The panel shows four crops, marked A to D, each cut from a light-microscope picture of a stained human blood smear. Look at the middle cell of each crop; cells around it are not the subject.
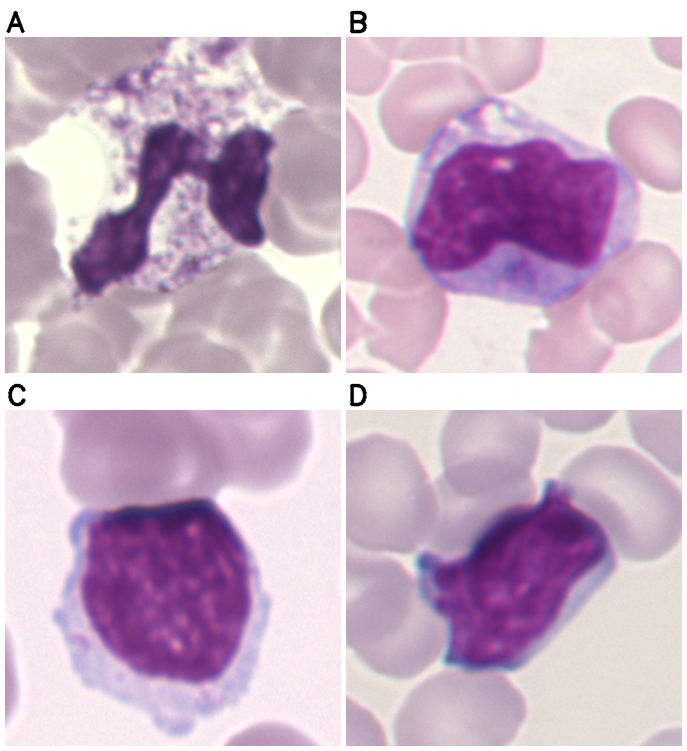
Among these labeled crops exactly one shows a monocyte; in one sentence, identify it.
The sole crop showing a monocyte is crop B.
